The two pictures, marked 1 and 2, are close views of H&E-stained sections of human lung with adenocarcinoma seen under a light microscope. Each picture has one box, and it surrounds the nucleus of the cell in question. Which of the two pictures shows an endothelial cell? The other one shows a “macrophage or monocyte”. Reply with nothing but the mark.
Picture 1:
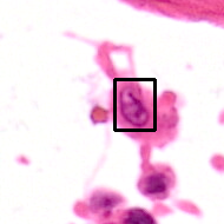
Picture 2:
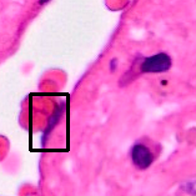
2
